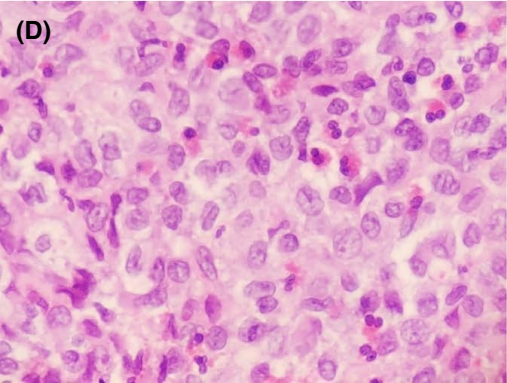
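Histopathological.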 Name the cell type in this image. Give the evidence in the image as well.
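Large cells with pale cytoplasm lie in sheets. Their oval nuclei are pale with fine chromatin and some show a groove or fold.
Large histiocytosis with coffee‐bean‐like nuclei.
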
